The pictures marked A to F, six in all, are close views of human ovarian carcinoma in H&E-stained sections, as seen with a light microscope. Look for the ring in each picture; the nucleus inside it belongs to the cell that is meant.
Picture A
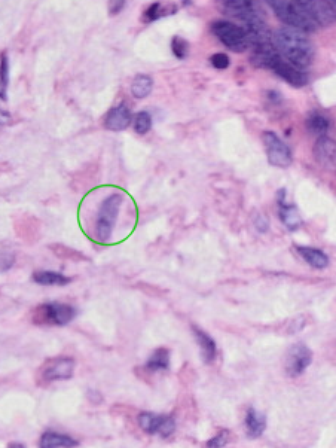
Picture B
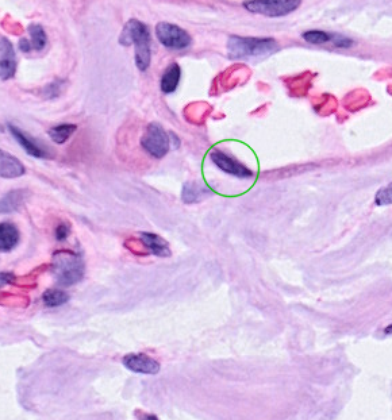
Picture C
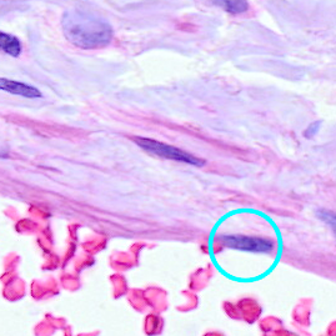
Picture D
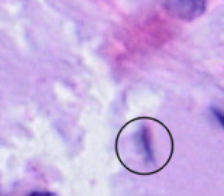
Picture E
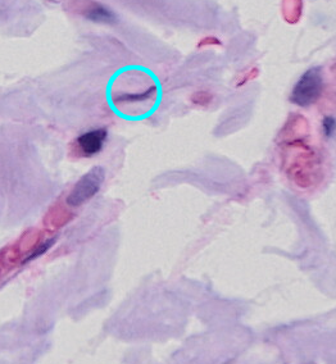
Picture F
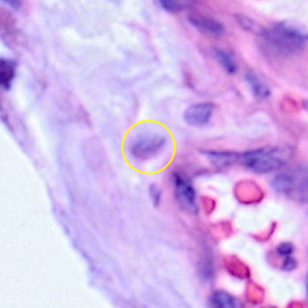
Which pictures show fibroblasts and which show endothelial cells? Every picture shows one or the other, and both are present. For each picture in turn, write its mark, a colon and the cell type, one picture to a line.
A: fibroblast
B: endothelial cell
C: endothelial cell
D: fibroblast
E: fibroblast
F: fibroblast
